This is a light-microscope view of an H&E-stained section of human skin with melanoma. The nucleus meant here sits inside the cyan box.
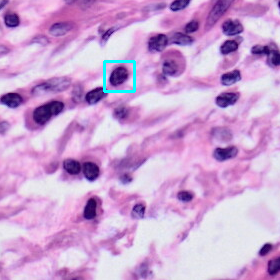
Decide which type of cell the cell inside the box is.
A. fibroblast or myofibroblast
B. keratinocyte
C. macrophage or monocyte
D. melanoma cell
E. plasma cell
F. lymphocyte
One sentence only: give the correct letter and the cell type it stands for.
As stated in option E, the cell inside the box is a plasma cell.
